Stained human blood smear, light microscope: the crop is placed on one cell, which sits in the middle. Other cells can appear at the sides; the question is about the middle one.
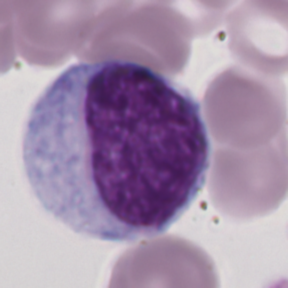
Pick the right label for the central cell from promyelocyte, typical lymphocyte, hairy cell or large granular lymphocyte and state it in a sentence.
Whatever else lies nearby, the middle cell is a promyelocyte.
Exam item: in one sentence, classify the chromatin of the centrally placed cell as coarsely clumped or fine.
The chromatin pattern here is coarse and clumped.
